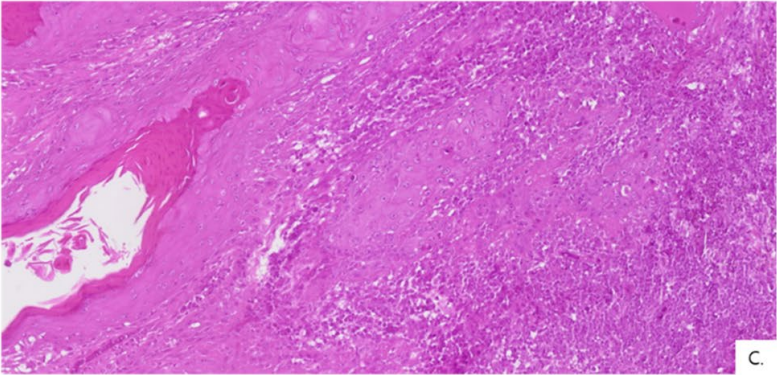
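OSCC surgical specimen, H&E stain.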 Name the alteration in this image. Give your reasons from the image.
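Bright pink, layered anucleate material at the left side. Eosinophilic squamous cells merge with the keratinized material.
Keratinization.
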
